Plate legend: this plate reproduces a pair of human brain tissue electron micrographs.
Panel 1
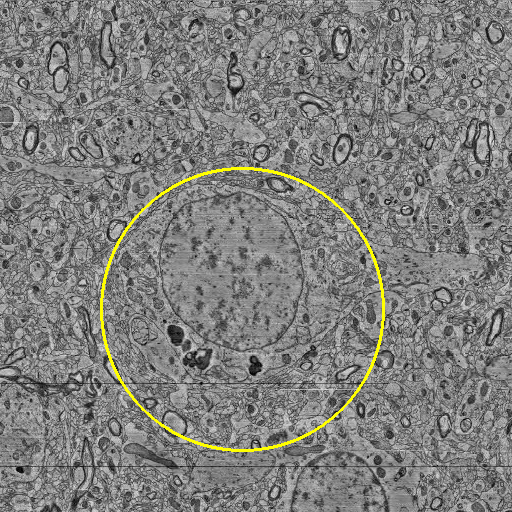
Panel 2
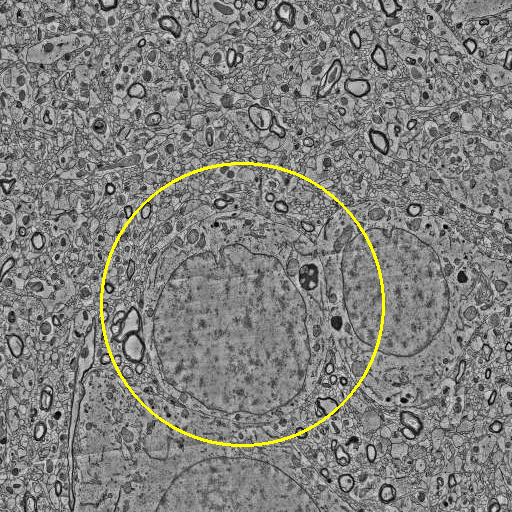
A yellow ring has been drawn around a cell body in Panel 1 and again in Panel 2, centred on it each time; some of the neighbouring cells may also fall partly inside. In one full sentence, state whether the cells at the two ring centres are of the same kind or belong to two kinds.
The ring-centred cells of Panel 1 and Panel 2 are of the same kind.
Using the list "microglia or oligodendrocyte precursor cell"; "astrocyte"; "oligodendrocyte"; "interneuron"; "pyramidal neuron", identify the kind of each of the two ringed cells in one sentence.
Each one of the two ringed cells is a pyramidal neuron.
